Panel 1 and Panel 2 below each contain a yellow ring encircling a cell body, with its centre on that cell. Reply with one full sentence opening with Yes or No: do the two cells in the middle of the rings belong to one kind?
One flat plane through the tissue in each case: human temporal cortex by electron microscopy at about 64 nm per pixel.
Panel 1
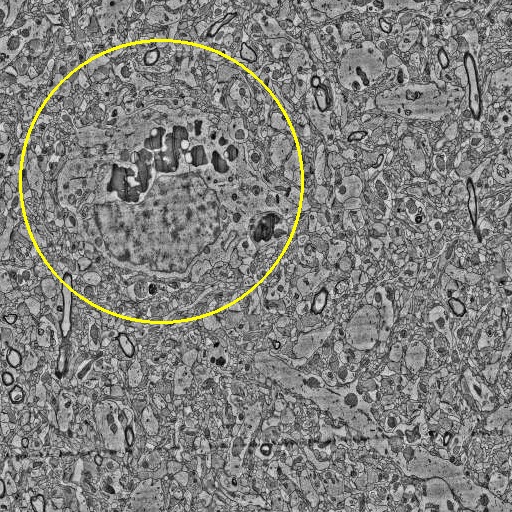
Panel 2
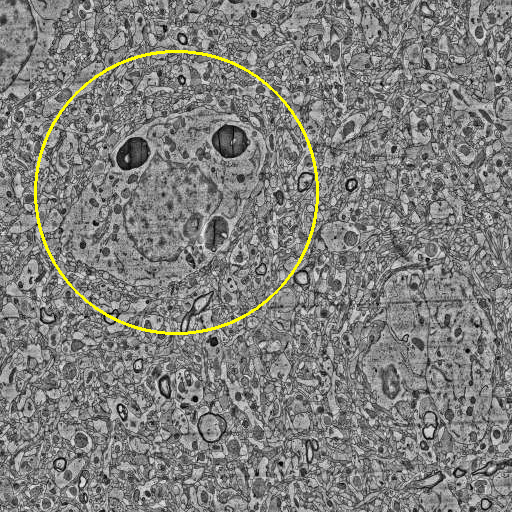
Yes, the cells at the middle of the Panel 1 ring and the Panel 2 ring are of one kind.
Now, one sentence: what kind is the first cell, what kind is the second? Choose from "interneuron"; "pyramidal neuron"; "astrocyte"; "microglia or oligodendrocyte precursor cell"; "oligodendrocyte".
The cell at the ring centre is an interneuron in both pictures.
